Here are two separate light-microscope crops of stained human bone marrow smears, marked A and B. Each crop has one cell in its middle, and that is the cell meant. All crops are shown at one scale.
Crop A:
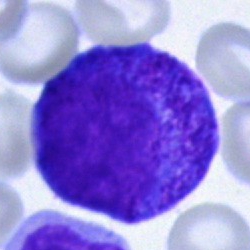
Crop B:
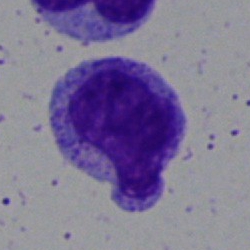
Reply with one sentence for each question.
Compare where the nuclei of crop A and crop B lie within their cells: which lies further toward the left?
In crop A the nucleus is shifted more toward the left.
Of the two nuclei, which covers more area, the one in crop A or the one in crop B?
Crop A shows the larger nucleus; it covers about 2 times the area of the nucleus in crop B.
